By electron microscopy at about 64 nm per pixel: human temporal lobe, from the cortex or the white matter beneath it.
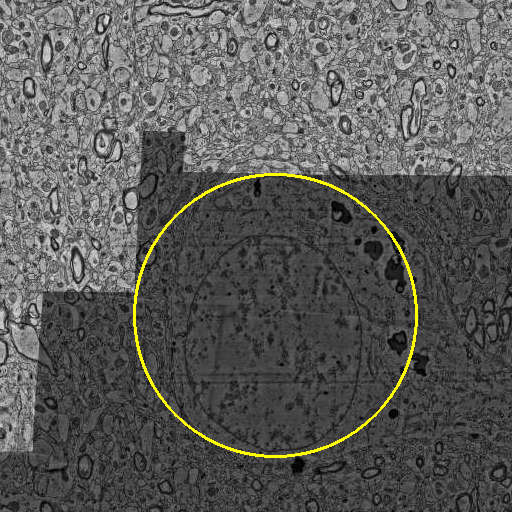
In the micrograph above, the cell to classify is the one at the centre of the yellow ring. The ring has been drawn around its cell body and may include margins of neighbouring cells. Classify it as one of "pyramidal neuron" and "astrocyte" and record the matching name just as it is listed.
pyramidal neuron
